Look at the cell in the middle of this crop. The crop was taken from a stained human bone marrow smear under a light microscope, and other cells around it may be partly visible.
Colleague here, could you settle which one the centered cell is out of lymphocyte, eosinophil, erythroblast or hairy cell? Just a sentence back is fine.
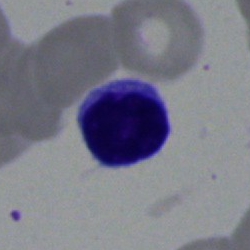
The crop centres on a single cell, and that cell is a lymphocyte.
